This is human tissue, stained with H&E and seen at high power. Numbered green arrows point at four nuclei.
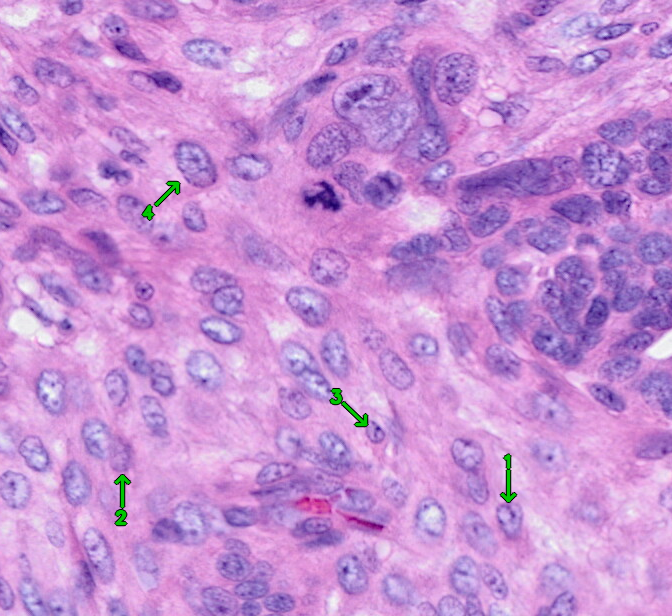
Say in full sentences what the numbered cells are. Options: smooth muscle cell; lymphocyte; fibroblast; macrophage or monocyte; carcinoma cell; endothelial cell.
Cell 1 is a fibroblast, cell 2 is a fibroblast, cell 3 is a macrophage or monocyte and cell 4 is a fibroblast.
